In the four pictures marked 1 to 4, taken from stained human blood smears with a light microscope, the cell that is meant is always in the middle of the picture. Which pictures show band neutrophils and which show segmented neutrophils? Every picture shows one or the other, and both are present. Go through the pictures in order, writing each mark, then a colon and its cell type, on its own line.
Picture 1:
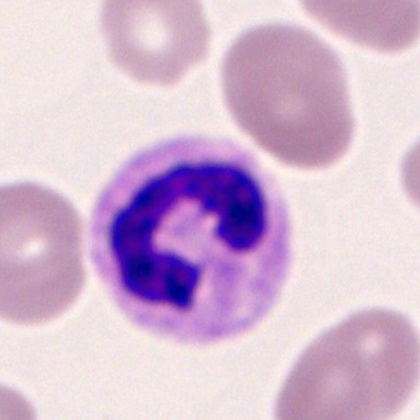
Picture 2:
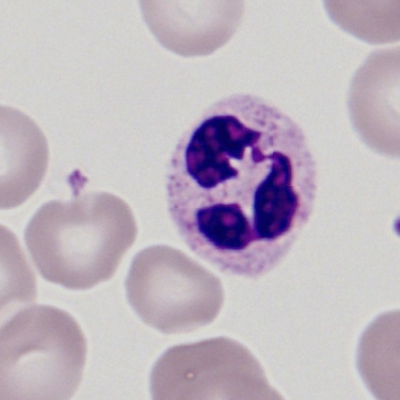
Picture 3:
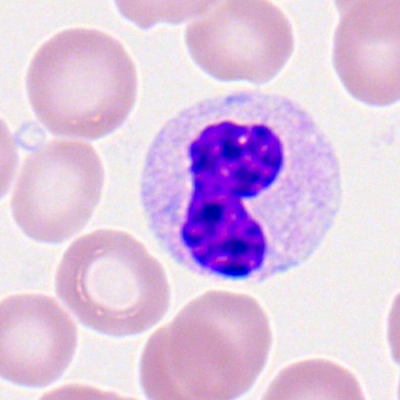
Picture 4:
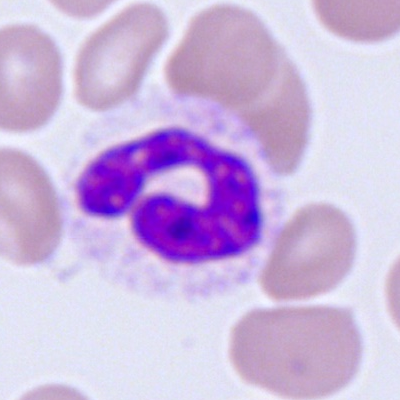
1: band neutrophil
2: segmented neutrophil
3: band neutrophil
4: band neutrophil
